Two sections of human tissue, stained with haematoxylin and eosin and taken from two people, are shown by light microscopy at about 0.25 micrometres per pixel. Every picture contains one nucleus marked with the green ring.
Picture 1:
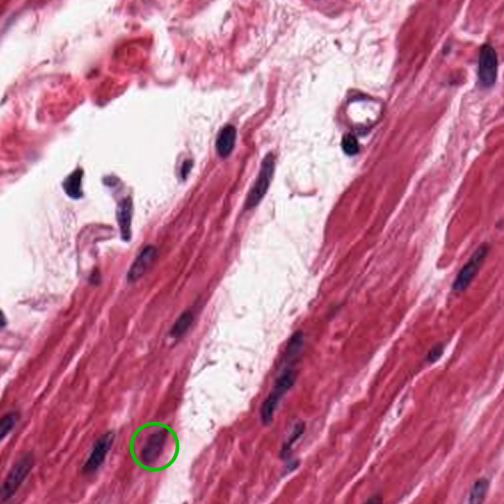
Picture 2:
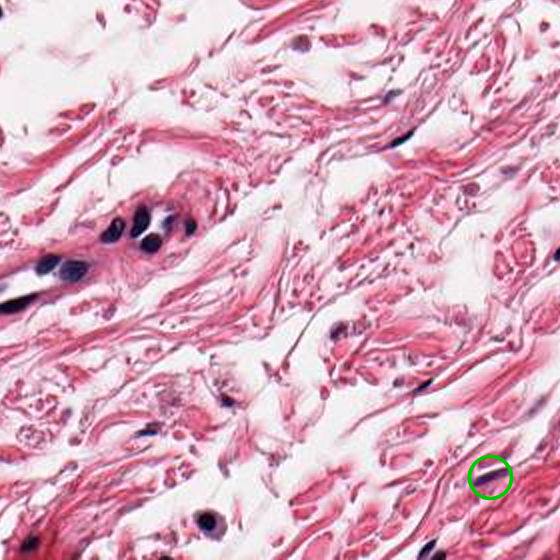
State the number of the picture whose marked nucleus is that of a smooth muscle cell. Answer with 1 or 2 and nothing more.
1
